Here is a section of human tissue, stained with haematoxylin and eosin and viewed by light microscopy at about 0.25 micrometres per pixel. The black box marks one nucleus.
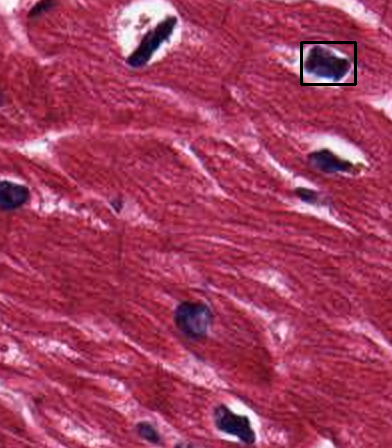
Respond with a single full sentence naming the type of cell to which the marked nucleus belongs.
The marked nucleus is that of a cardiomyocyte in this section.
